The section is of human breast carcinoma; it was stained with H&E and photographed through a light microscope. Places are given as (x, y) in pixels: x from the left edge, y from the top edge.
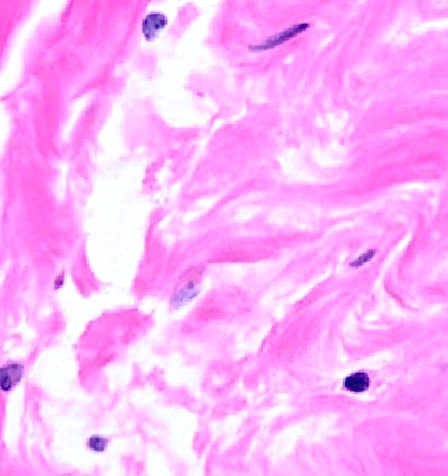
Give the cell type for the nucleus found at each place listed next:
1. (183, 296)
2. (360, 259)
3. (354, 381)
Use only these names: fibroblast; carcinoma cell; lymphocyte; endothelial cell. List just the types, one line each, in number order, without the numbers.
fibroblast
fibroblast
lymphocyte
